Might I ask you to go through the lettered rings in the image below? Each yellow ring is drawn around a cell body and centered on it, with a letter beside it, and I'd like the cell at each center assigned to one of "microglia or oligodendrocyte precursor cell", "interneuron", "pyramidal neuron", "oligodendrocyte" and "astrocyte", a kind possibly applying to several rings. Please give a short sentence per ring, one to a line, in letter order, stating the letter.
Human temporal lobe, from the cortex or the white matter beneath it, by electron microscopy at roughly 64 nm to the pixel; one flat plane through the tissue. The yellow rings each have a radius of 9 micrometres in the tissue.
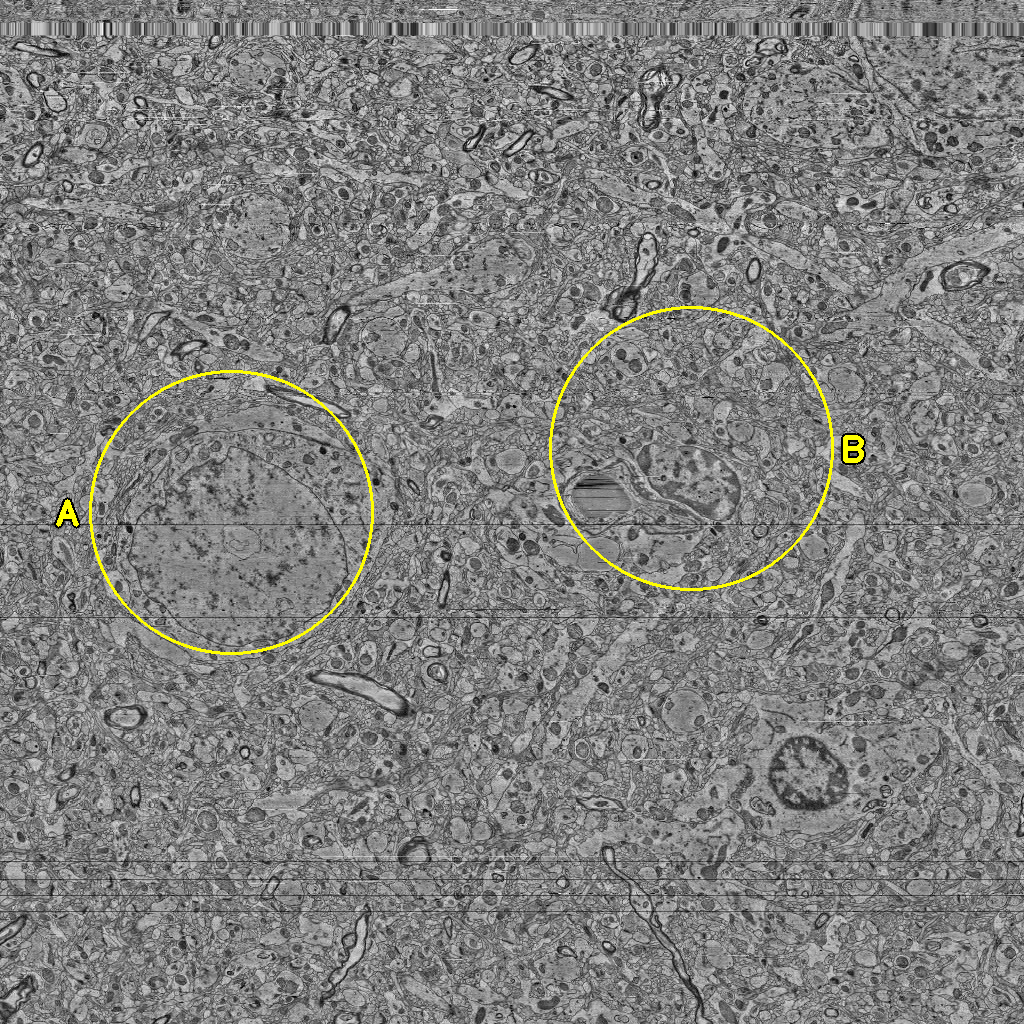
Ring A is centered on the body of a pyramidal neuron.
Ring B is centered on the body of a microglial cell or oligodendrocyte precursor cell.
